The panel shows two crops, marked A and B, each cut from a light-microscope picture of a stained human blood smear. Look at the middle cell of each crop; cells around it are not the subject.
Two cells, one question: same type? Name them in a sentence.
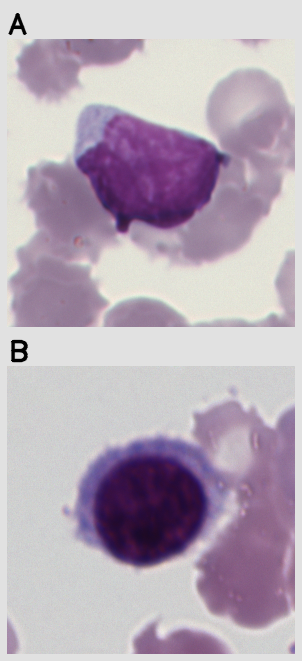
No, in crop B the central cell is a hairy cell, and in crop A it is a myeloblast.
